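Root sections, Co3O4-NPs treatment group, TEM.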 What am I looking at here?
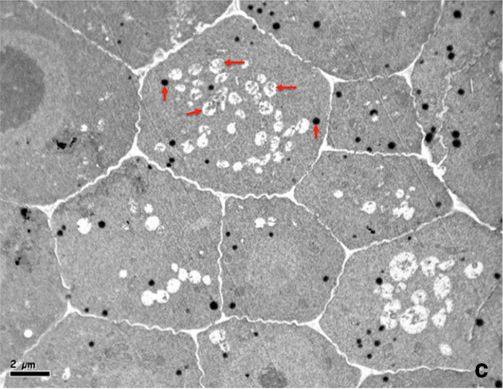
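Root parenchyma cells seen in section, packed together as polygonal cells separated by thin walls. Their cytoplasm is dense and grey, and several cells hold clusters of many small pale rounded vacuoles containing dark granular aggregates. Small black round dense bodies are scattered through the cells as well.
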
